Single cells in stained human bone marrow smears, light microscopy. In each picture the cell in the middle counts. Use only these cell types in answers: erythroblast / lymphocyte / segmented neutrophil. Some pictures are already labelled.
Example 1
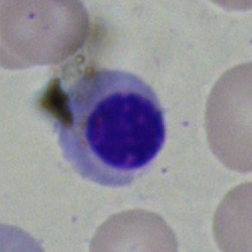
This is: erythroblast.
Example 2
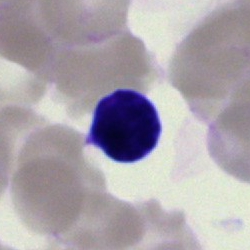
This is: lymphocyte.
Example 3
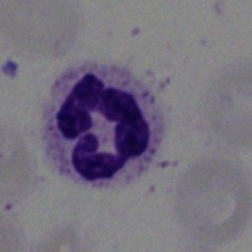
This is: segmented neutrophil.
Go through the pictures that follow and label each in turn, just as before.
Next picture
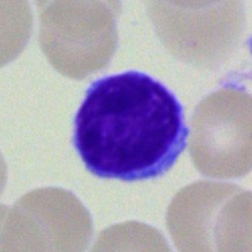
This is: lymphocyte.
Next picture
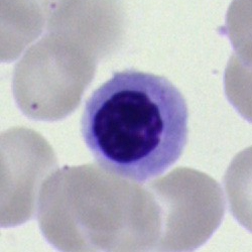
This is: erythroblast.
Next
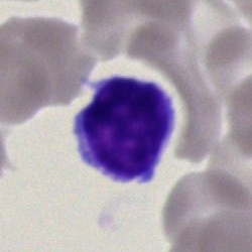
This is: lymphocyte.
